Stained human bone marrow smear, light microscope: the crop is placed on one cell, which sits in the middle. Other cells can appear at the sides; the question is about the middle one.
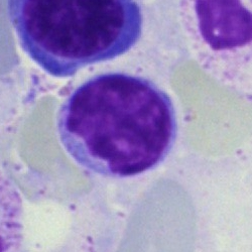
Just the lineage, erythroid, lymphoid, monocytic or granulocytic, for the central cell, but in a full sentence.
The lymphoid lineage includes the cell at the center of the crop.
